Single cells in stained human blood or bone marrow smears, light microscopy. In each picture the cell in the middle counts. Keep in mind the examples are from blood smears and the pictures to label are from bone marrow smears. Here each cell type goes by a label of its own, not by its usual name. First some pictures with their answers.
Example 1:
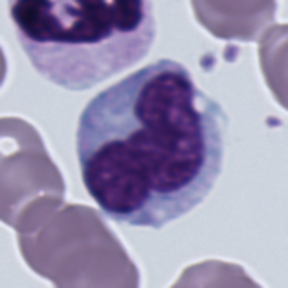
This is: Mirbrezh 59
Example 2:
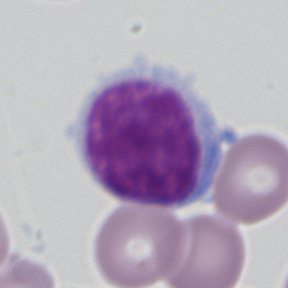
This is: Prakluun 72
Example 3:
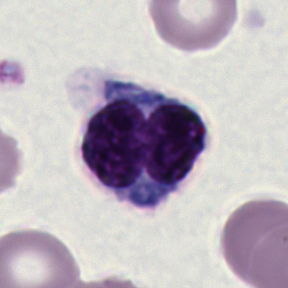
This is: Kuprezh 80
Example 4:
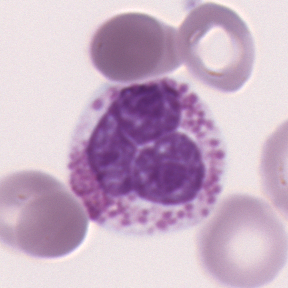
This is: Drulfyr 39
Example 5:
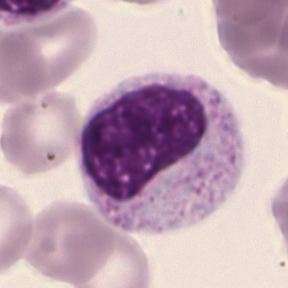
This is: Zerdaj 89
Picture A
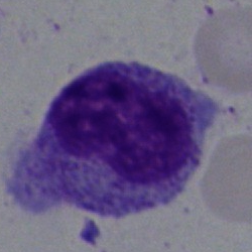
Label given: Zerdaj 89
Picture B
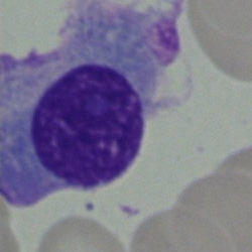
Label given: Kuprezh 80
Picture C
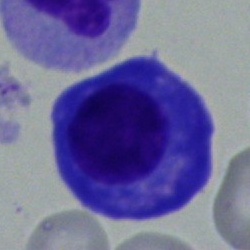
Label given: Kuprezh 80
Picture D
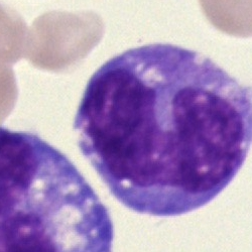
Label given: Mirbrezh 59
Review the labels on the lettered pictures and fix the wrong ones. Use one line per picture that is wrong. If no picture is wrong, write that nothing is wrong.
None of the labels needs changing.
